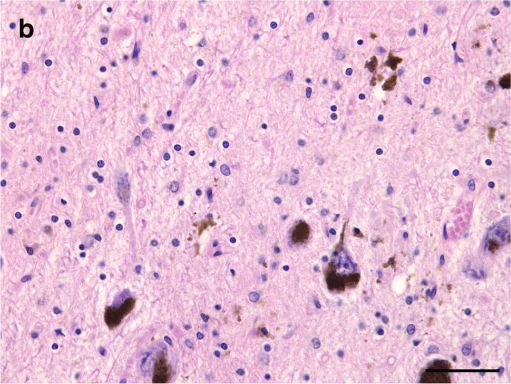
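This is substantia nigra in a pink-stained section, with a few large neurons whose cytoplasm is packed with dark brown-black pigment. The neuropil between them is crowded with many small, round, dark blue nuclei of glial cells. Clumps of the same brown pigment lie loose in the neuropil, away from any neuron, as pigment freed from lost cells.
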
